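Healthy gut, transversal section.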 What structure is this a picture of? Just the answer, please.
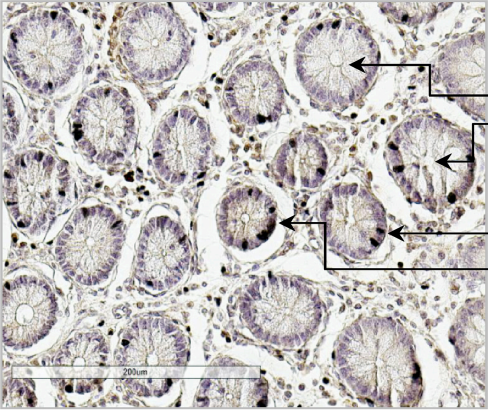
epithelial crypts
